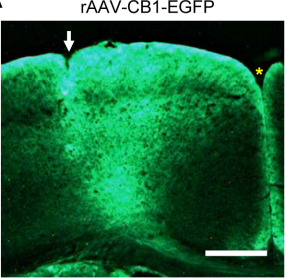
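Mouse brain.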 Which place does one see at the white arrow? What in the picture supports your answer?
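The arrow points at a spot on the upper surface of the cortex. The green fluorescence spreads out below and around this spot. That points to this answer: Injection site.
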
